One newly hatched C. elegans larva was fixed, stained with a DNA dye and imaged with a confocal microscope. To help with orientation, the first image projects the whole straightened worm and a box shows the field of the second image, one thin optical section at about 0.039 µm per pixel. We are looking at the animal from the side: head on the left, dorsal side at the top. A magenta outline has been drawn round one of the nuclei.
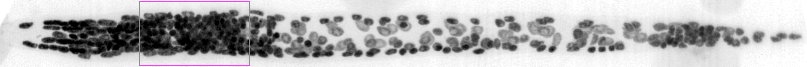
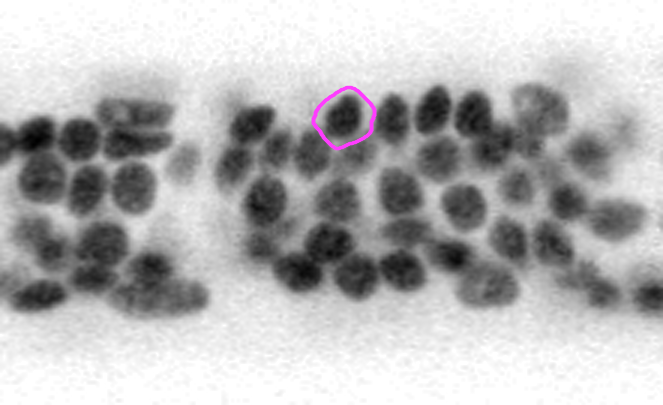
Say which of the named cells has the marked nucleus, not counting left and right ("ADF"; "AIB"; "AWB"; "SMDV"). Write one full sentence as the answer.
The marked nucleus belongs to AWB, a neuron.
